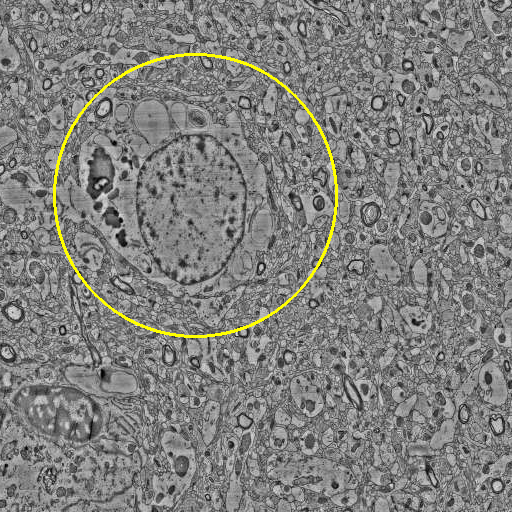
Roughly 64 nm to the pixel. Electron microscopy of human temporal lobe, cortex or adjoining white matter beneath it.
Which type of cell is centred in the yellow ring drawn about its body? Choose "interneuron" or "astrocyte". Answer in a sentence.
The yellow ring surrounds the cell body of an astrocyte.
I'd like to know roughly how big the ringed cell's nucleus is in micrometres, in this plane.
In this plane the nucleus is about 10 micrometres by 7.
